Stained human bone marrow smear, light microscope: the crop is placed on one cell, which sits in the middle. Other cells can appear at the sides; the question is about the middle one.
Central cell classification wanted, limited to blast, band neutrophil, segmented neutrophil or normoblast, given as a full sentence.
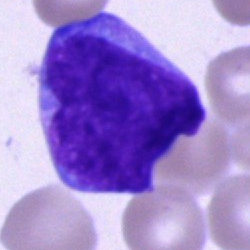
The cell nearest the centre of this crop is a blast.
